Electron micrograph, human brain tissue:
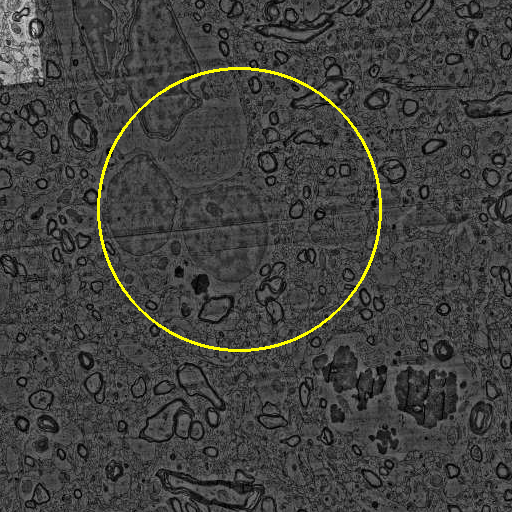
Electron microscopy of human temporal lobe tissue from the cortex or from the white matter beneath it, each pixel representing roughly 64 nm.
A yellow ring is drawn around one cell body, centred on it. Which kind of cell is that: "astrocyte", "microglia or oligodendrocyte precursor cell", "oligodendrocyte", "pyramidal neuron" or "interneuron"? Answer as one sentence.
It is an oligodendrocyte at the centre of the ring.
